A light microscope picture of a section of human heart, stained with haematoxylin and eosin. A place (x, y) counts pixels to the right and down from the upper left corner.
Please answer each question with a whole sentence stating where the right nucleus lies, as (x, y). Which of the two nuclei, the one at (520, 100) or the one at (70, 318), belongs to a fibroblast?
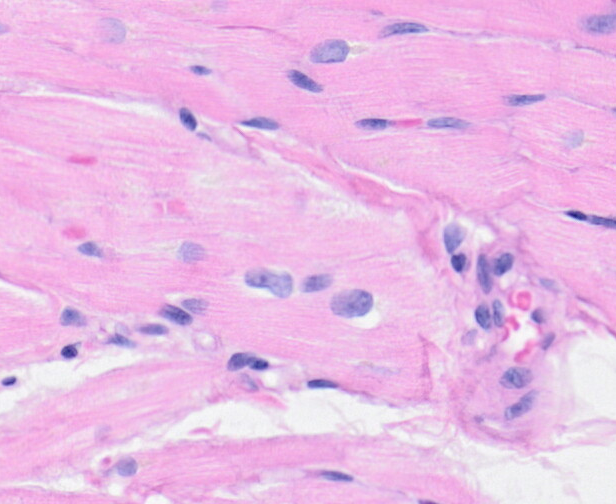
The nucleus at (70, 318), rather than the other, belongs to a fibroblast.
